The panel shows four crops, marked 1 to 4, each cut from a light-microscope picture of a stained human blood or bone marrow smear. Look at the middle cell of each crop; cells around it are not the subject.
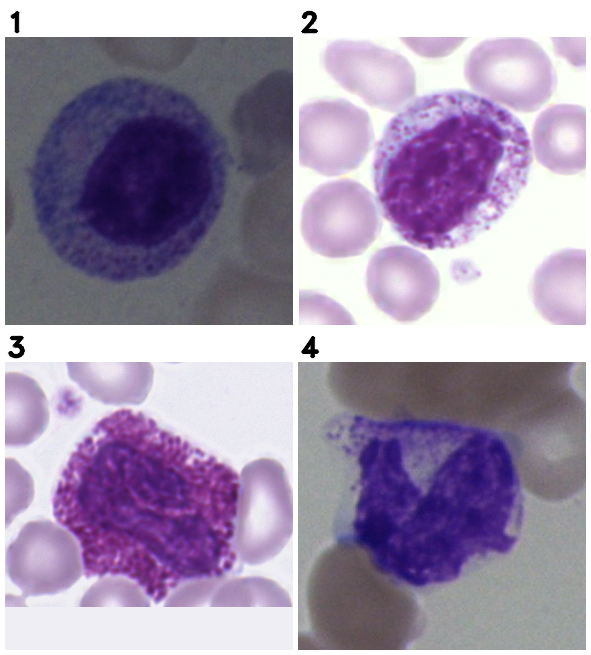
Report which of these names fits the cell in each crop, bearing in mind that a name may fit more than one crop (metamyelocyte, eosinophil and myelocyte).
1: myelocyte
2: metamyelocyte
3: eosinophil
4: metamyelocyte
